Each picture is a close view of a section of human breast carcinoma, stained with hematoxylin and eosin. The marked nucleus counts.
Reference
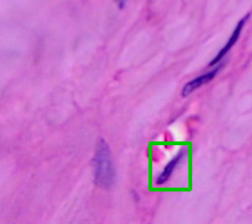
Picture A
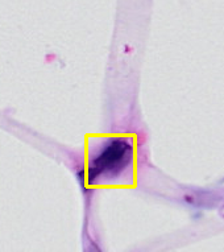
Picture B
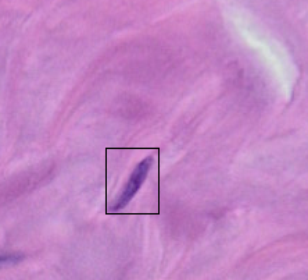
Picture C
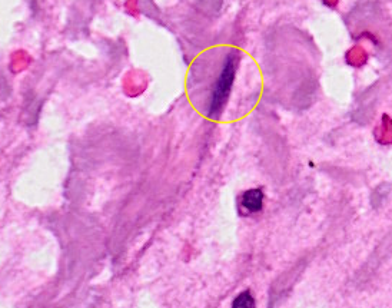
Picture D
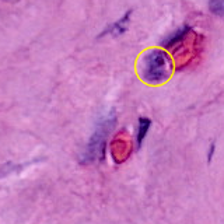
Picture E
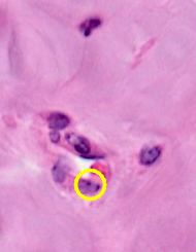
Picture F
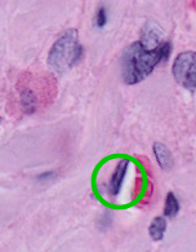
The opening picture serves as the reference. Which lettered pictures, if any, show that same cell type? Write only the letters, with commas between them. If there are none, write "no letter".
A, D, E, F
